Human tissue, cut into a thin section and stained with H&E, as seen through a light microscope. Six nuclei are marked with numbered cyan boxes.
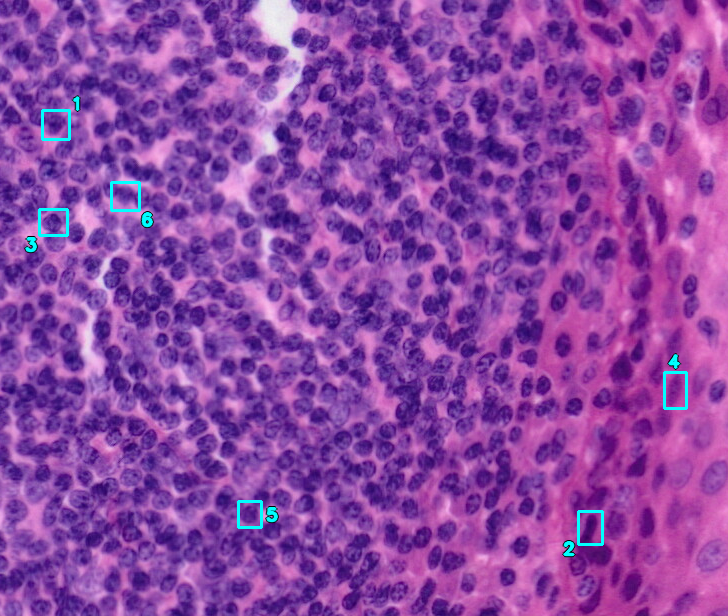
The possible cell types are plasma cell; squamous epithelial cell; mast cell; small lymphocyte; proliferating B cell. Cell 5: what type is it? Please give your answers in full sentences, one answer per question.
The one numbered 5 among the marked cells is a small lymphocyte.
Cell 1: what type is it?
The cell numbered 1 represents a small lymphocyte.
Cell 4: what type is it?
Number 4 is placed on a squamous epithelial cell here.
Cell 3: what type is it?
The one labeled 3 is a small lymphocyte, to put it simply.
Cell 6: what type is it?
The cell pointed out as number 6 is a small lymphocyte.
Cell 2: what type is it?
The cell numbered 2 represents a squamous epithelial cell.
